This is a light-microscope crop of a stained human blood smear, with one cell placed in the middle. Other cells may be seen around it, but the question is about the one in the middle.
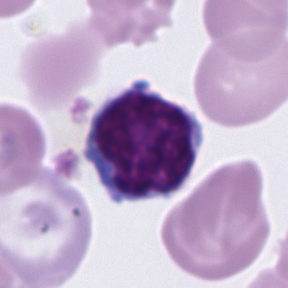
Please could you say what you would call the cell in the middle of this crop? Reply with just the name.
lymphocyte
